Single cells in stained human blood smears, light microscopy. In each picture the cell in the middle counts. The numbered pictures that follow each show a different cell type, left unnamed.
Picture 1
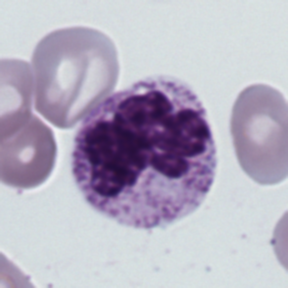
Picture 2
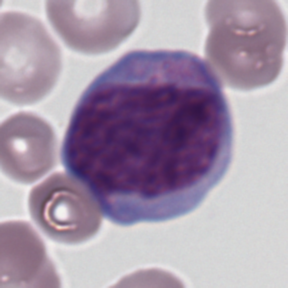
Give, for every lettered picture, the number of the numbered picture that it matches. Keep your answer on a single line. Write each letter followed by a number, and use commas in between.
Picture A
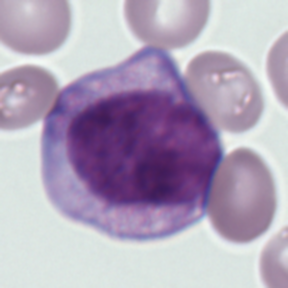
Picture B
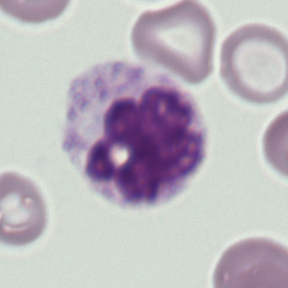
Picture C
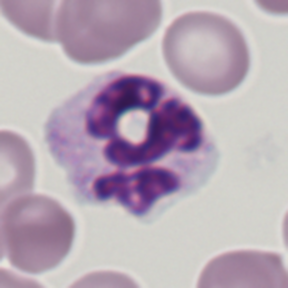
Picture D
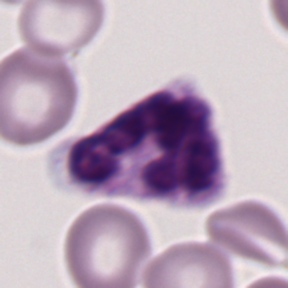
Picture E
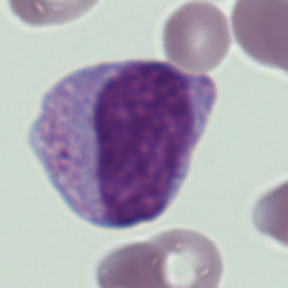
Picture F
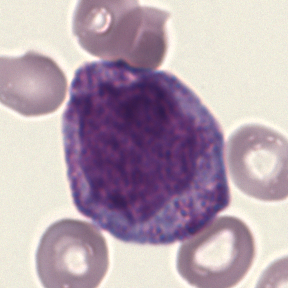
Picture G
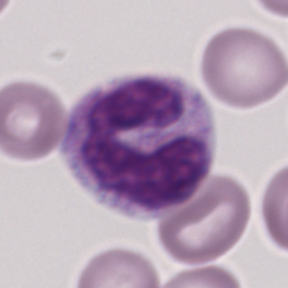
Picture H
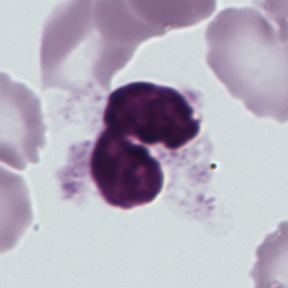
A 2, B 1, C 1, D 1, E 2, F 2, G 1, H 1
